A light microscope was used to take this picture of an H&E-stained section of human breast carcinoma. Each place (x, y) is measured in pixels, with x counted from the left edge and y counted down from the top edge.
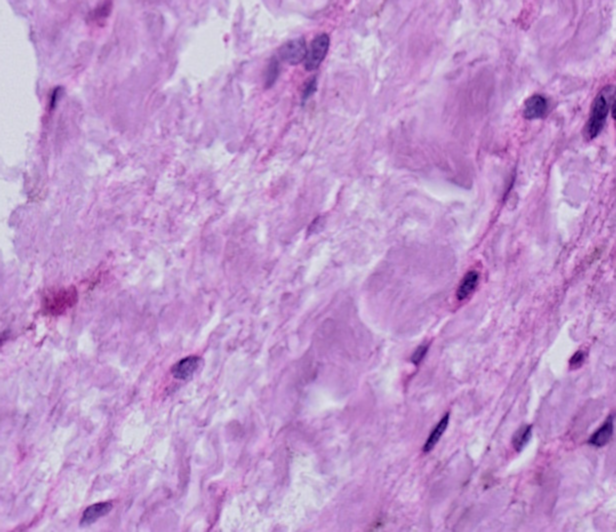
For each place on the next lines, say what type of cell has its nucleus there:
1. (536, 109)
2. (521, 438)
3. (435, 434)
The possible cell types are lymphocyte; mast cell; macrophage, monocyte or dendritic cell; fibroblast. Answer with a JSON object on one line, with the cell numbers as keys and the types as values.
{"1": "macrophage, monocyte or dendritic cell", "2": "fibroblast", "3": "fibroblast"}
